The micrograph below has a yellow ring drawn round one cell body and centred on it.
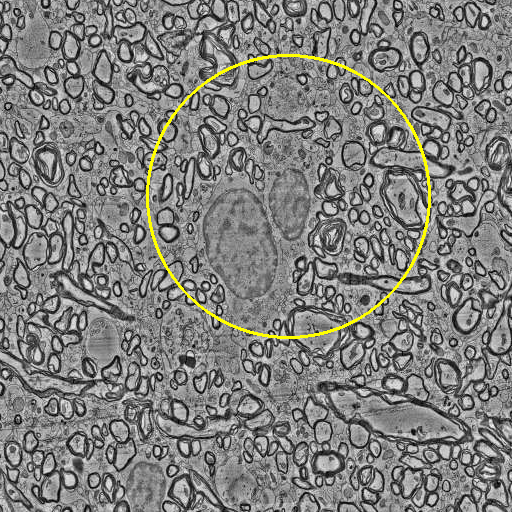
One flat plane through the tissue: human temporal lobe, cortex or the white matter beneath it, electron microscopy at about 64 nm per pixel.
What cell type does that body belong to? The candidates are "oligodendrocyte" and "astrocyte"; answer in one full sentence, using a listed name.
This is an oligodendrocyte, the cell whose body lies at the centre of the ring.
